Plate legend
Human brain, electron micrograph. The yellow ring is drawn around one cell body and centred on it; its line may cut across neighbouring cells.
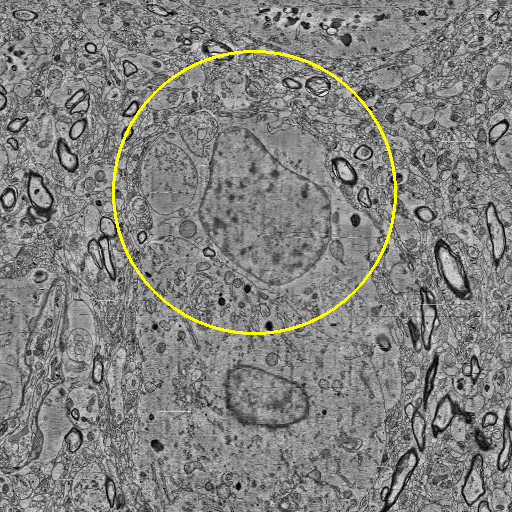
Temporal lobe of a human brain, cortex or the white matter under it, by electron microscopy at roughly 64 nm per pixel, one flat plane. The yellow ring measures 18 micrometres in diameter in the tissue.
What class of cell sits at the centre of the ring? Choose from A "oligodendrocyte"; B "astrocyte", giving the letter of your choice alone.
B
